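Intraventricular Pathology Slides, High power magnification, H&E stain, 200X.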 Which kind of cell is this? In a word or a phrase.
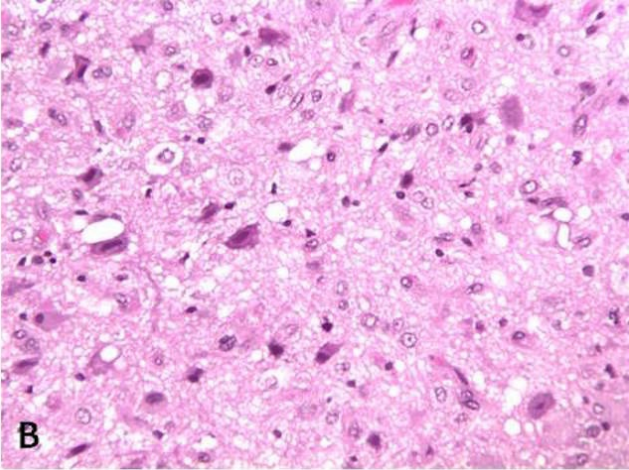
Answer: Ganglion cell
